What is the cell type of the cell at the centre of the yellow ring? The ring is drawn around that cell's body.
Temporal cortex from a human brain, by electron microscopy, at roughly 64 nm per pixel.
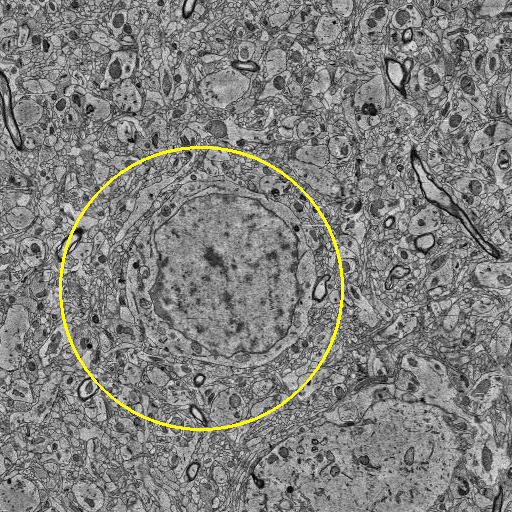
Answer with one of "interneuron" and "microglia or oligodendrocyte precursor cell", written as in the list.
interneuron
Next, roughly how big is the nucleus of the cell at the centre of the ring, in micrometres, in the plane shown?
The nucleus is approximately 11 micrometers across in this plane.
